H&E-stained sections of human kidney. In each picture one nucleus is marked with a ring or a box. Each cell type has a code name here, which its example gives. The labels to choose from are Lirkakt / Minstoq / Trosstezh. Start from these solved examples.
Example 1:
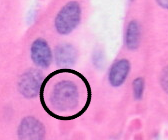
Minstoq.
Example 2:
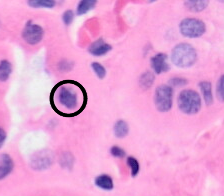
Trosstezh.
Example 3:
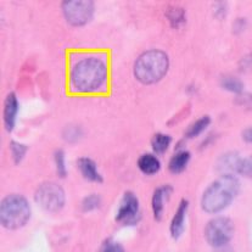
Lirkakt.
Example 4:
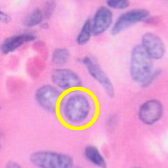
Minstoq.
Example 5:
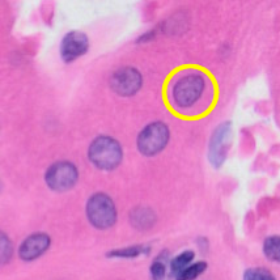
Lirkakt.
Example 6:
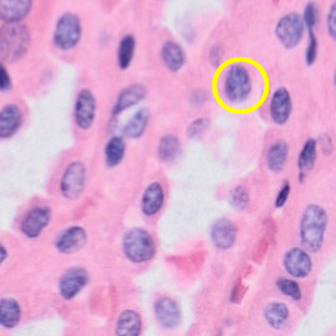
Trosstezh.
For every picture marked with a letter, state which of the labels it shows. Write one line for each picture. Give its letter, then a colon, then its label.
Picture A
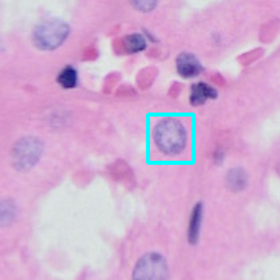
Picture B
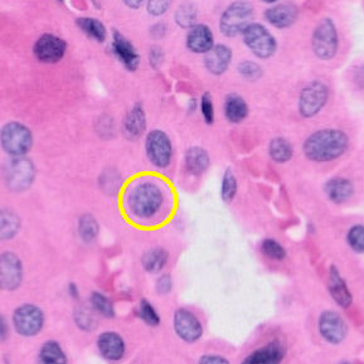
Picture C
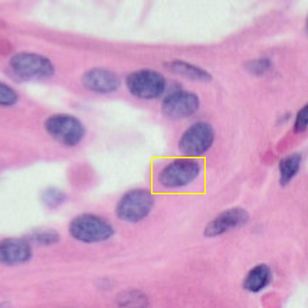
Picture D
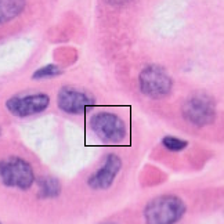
A: Lirkakt.
B: Trosstezh.
C: Trosstezh.
D: Minstoq.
